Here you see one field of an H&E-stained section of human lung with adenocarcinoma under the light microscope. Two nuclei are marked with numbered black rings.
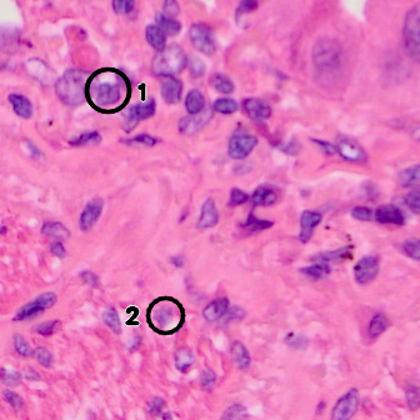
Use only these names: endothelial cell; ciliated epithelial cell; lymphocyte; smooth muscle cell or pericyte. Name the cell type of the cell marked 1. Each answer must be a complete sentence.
The cell tagged with 1 in this tissue section is a lymphocyte.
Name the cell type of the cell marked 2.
Marked with the number 2, this cell is a smooth muscle cell or pericyte.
